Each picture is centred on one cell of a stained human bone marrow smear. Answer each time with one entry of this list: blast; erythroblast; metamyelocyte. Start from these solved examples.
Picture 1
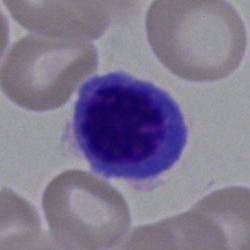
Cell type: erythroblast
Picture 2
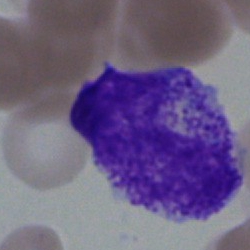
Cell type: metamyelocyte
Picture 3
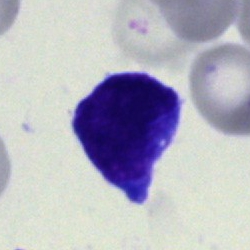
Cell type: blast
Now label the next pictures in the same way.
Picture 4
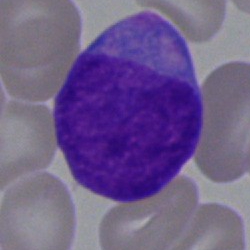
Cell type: blast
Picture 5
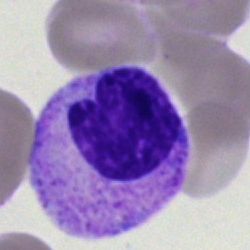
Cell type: metamyelocyte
